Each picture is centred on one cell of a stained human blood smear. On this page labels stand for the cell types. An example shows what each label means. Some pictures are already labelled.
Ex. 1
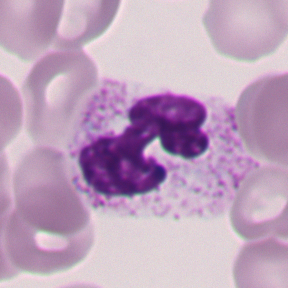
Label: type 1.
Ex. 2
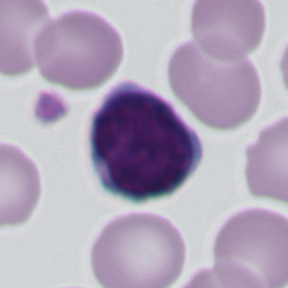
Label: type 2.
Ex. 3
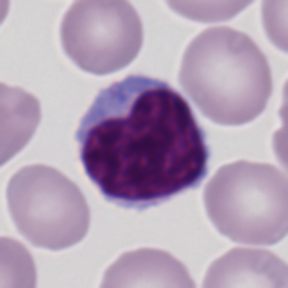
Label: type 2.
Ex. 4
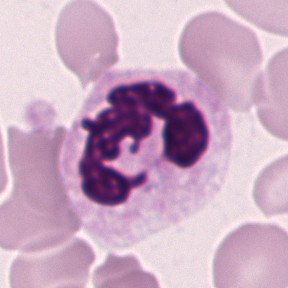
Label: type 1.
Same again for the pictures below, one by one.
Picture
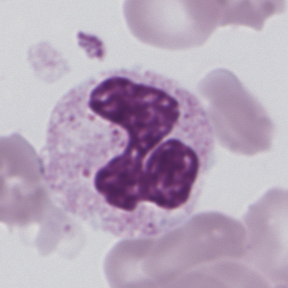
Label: type 1.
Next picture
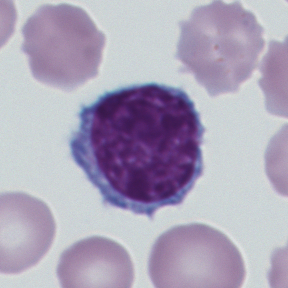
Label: type 2.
